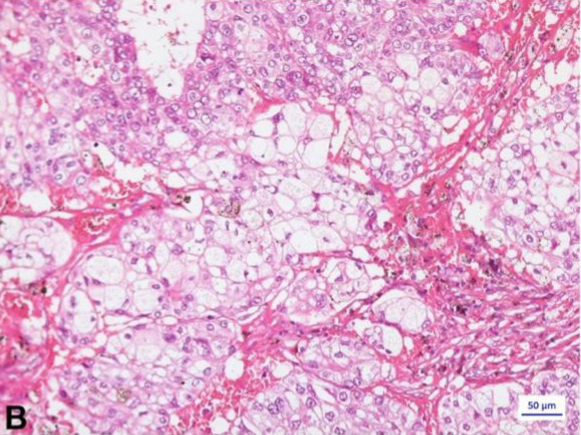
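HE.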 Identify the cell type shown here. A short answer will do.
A: tumor cells with abundant vacuolated cytoplasm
